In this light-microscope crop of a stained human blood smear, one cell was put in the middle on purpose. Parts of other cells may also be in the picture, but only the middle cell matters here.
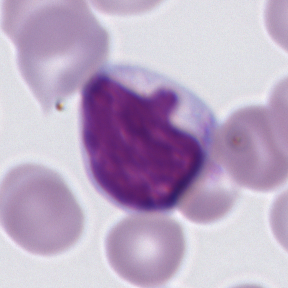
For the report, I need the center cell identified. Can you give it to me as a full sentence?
The middle cell in this particular crop is a large granular lymphocyte.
